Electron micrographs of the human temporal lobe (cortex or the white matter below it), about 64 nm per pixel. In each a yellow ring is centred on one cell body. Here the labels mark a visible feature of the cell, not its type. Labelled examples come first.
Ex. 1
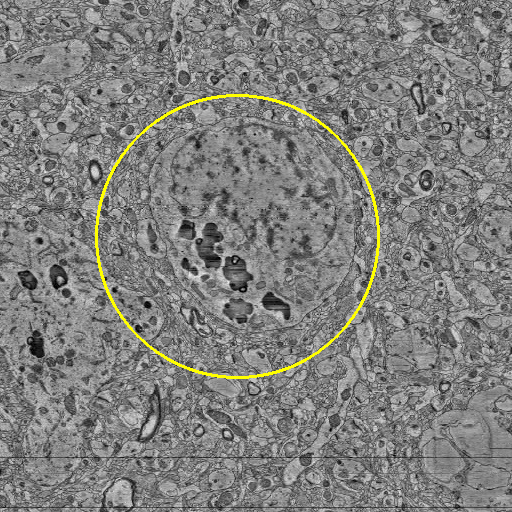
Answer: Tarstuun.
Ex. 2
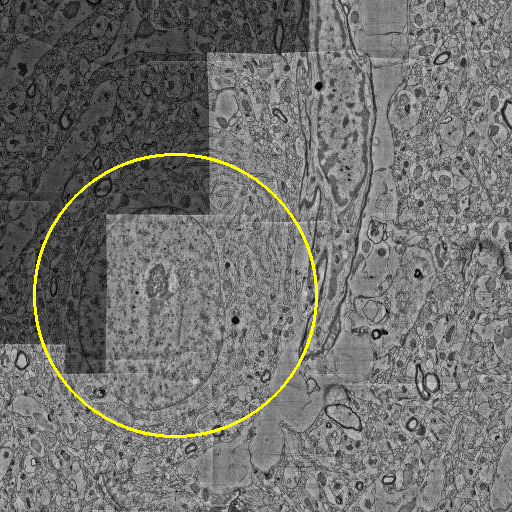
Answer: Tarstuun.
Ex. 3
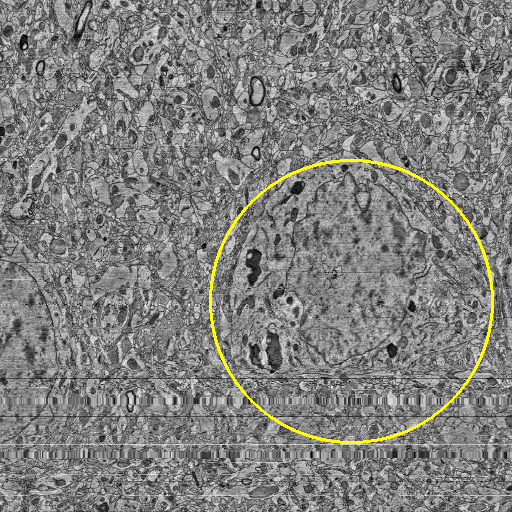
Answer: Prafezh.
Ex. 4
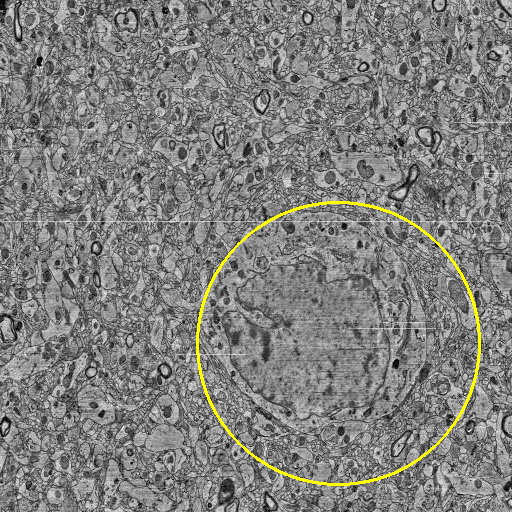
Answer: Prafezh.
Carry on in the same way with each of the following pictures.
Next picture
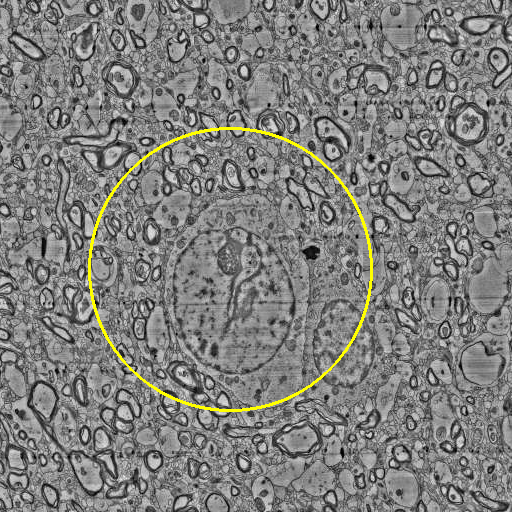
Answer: Prafezh.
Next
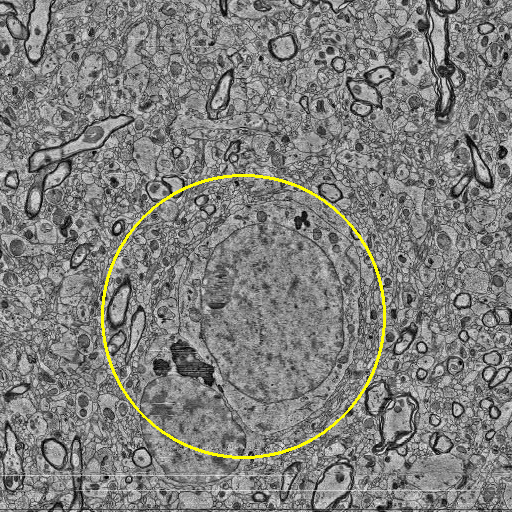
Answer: Tarstuun.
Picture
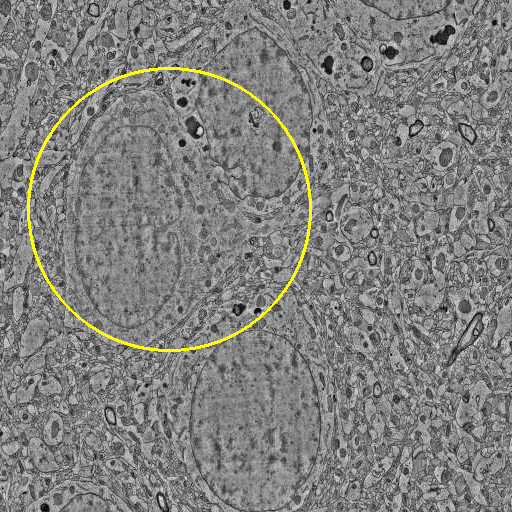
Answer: Tarstuun.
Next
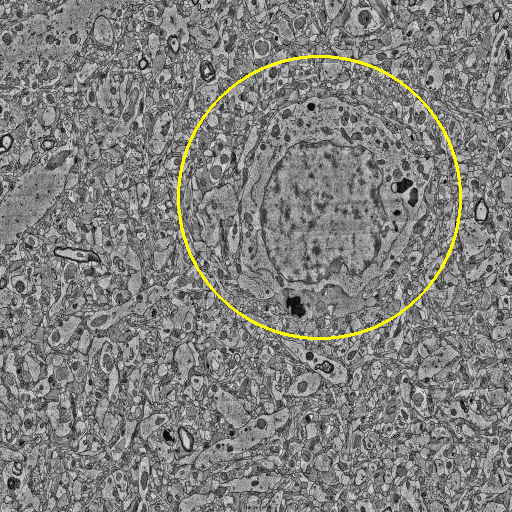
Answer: Tarstuun.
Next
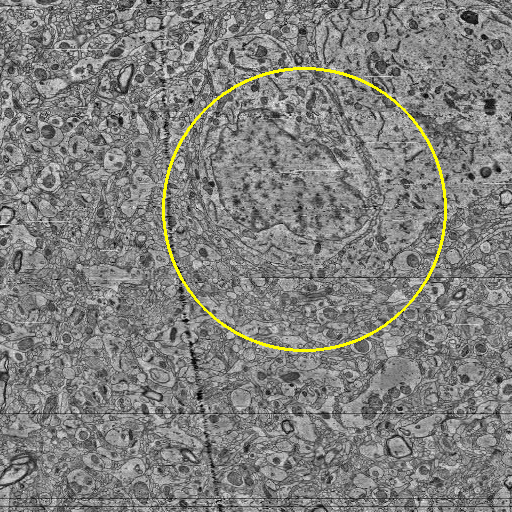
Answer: Prafezh.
